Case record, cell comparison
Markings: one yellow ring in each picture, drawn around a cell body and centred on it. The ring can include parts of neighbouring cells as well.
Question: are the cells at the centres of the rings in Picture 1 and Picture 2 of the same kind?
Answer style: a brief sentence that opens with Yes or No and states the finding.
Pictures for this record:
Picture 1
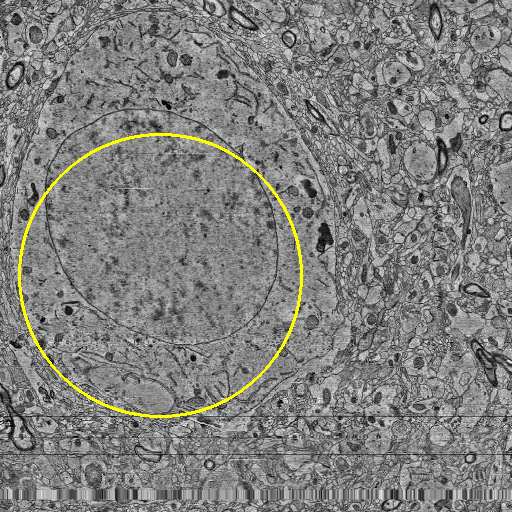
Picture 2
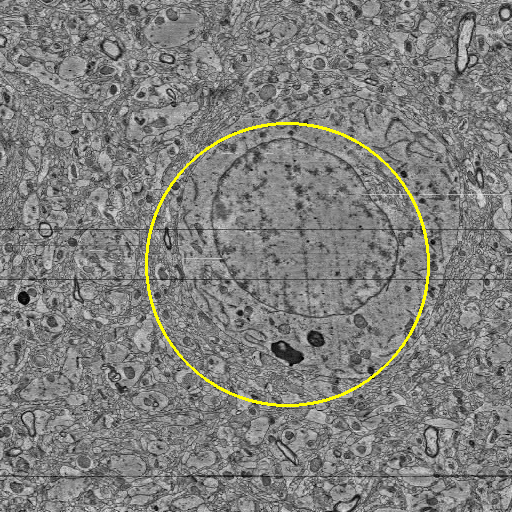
Yes, the cells in Picture 1 and Picture 2 are of the same kind.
